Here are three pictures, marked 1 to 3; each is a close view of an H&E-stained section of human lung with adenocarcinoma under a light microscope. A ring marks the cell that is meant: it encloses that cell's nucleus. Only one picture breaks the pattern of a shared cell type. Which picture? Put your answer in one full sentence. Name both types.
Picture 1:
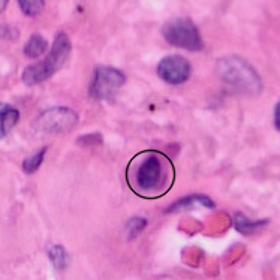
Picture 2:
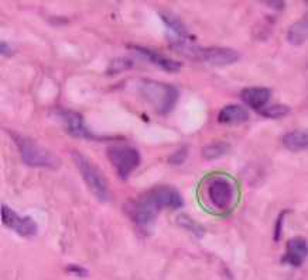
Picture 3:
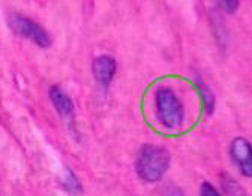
All pictures except 3 show plasma cells; picture 3 shows a “smooth muscle cell or pericyte”.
